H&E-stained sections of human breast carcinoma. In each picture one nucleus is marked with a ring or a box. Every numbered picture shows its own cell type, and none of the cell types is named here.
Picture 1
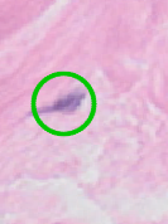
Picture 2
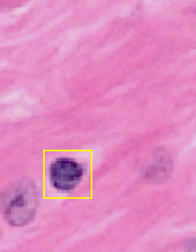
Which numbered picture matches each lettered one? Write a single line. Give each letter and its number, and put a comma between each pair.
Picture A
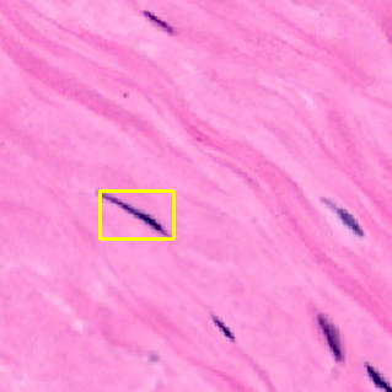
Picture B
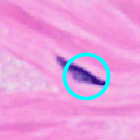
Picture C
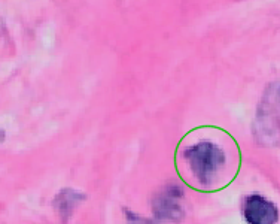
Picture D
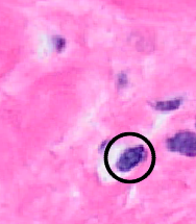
A 1, B 1, C 2, D 2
